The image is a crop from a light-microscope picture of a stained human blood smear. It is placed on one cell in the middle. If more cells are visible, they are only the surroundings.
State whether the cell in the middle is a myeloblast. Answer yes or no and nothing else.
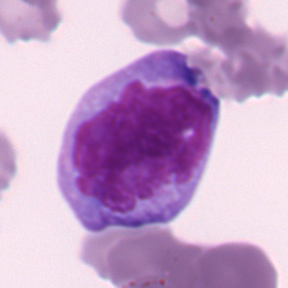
yes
